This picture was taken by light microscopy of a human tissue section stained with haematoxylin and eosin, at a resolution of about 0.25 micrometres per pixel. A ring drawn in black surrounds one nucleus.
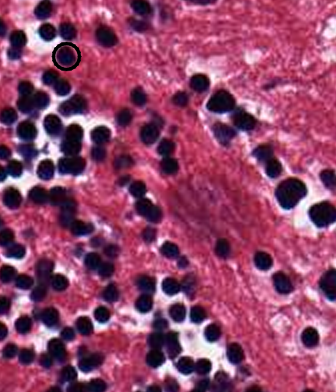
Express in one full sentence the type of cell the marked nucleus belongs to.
The cell to which the marked nucleus belongs is a cerebellar granule cell.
